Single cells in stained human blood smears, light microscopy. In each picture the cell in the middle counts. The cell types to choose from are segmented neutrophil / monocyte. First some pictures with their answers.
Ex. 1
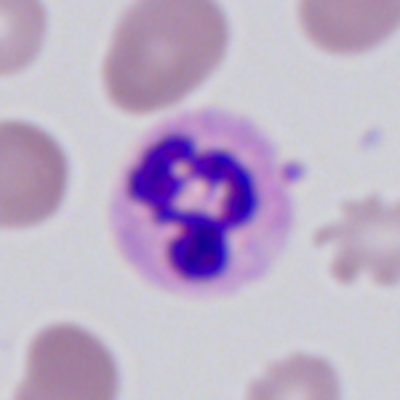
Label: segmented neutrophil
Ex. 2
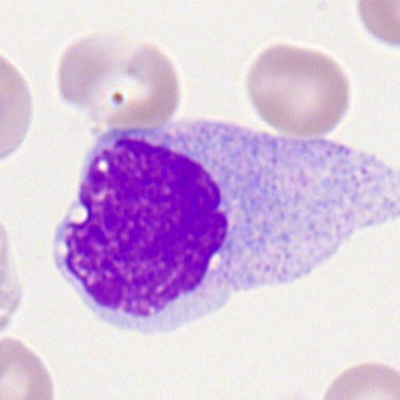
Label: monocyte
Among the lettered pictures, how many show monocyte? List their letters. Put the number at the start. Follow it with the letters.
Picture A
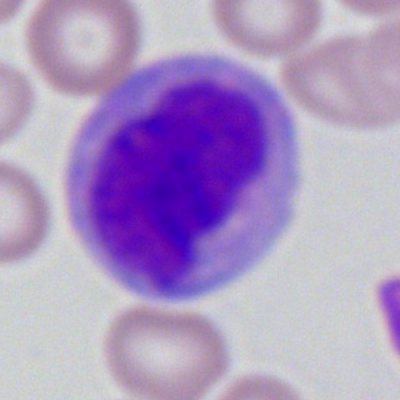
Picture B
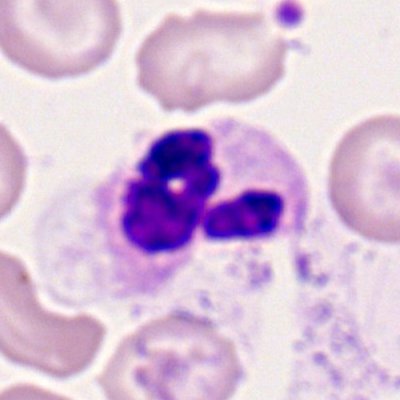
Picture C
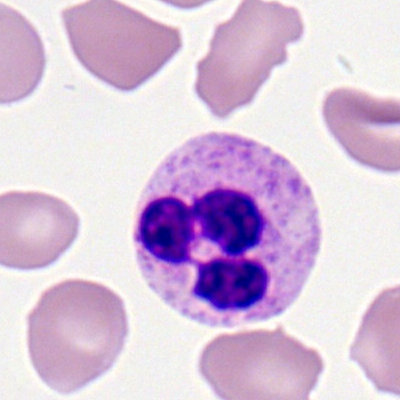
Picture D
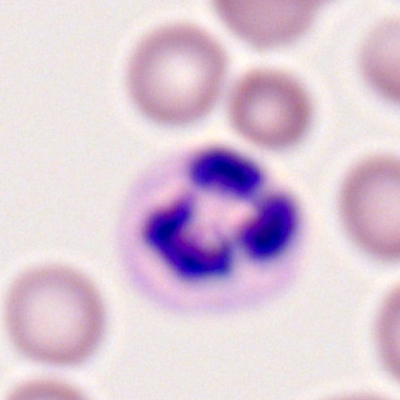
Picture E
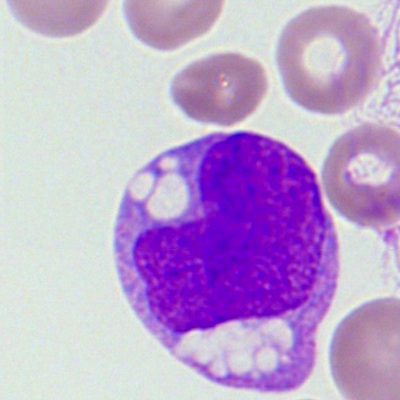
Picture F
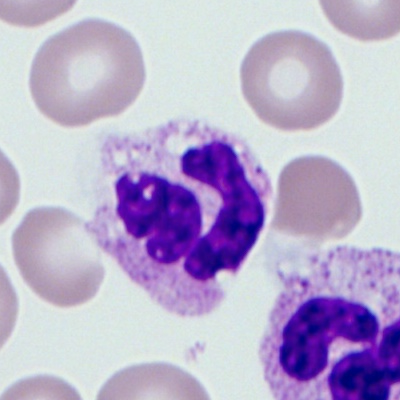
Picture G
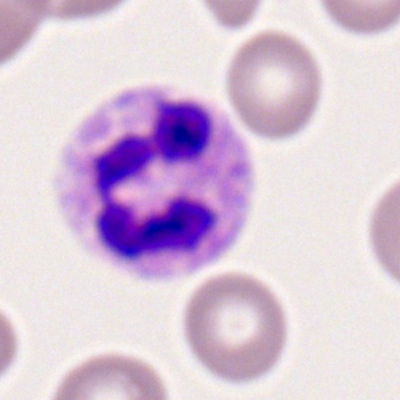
2: A, E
